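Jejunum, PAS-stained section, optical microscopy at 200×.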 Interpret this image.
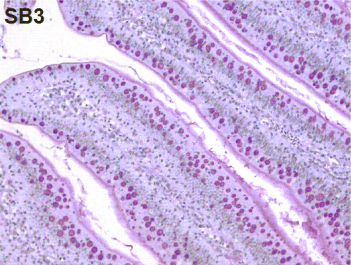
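Here are intestinal villi cut lengthwise, each lined by a single layer of tall columnar epithelial cells with goblet cells scattered among them. The goblet cells stand out as rounded, magenta-filled cups set in the epithelium, many of them crowded along the villus flanks. Inside each villus lies a core of loose connective tissue with small scattered nuclei. Pale spaces of lumen separate neighbouring villi.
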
